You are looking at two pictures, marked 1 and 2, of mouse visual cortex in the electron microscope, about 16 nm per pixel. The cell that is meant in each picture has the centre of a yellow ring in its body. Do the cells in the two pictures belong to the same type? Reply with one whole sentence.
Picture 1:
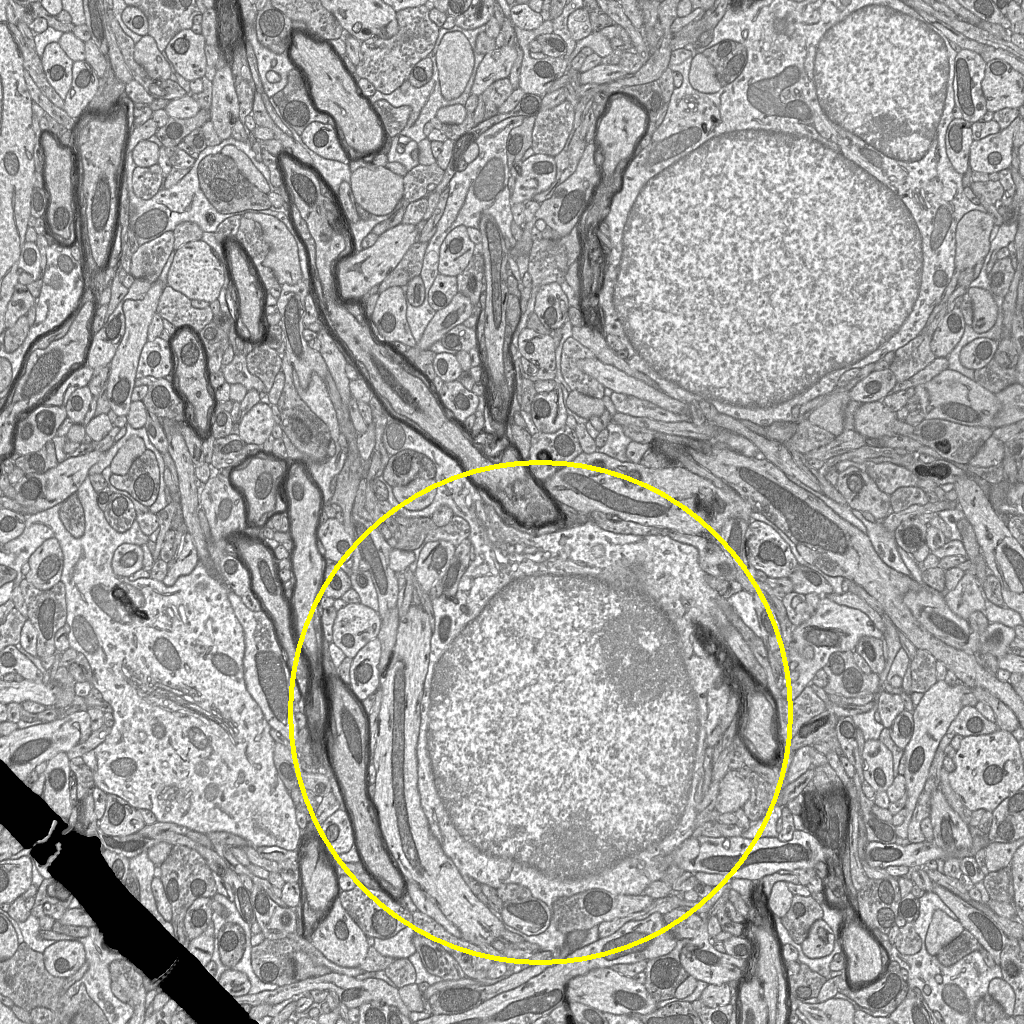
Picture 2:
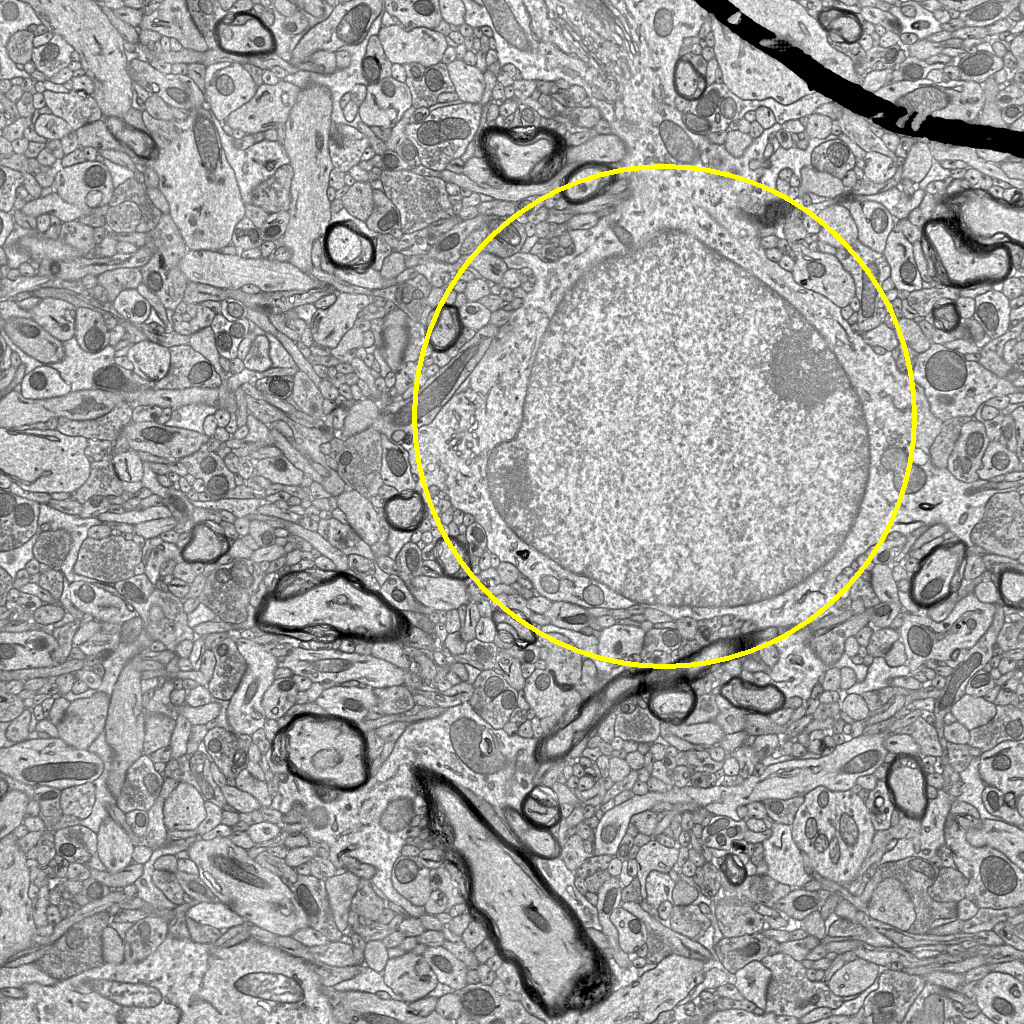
Yes, the two pictures both show astrocytes.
